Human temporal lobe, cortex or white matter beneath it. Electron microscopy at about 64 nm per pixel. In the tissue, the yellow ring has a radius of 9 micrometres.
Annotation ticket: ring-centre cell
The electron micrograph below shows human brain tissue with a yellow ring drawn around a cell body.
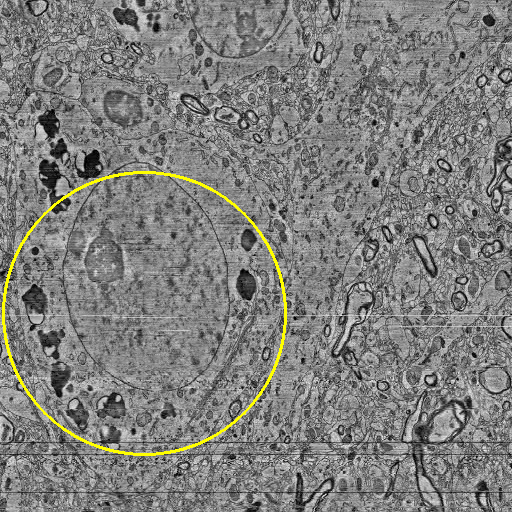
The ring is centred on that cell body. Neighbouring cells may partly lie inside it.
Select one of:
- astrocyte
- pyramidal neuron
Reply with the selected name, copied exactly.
pyramidal neuron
